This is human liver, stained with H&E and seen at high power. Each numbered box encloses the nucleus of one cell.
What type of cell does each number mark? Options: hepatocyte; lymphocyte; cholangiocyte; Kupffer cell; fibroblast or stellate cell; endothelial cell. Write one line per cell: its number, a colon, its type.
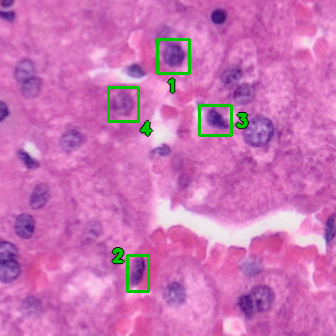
1: hepatocyte
2: endothelial cell
3: fibroblast or stellate cell
4: hepatocyte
